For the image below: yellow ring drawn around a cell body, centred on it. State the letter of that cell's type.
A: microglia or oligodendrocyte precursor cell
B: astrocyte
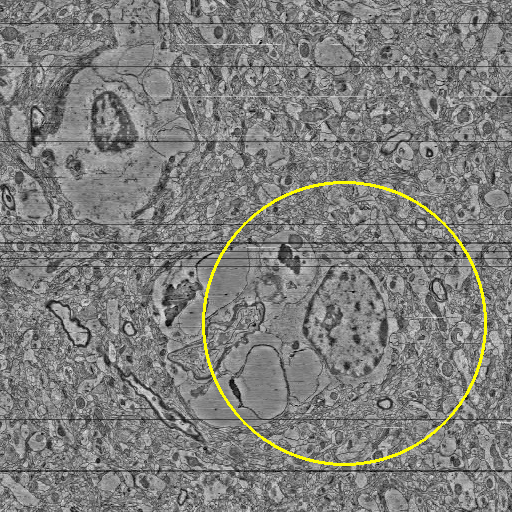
A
